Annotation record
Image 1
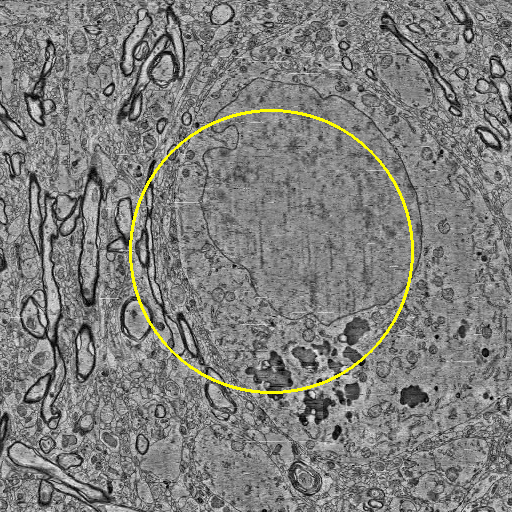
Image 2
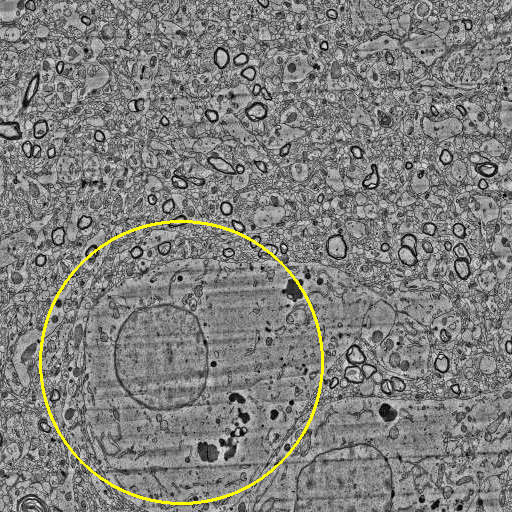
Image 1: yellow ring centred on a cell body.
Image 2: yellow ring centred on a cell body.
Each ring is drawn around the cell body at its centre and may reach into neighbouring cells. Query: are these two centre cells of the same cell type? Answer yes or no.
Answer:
yes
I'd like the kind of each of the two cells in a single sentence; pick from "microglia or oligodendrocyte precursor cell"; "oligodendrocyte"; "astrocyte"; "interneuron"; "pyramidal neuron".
Both cells are the same kind, each one being a pyramidal neuron.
